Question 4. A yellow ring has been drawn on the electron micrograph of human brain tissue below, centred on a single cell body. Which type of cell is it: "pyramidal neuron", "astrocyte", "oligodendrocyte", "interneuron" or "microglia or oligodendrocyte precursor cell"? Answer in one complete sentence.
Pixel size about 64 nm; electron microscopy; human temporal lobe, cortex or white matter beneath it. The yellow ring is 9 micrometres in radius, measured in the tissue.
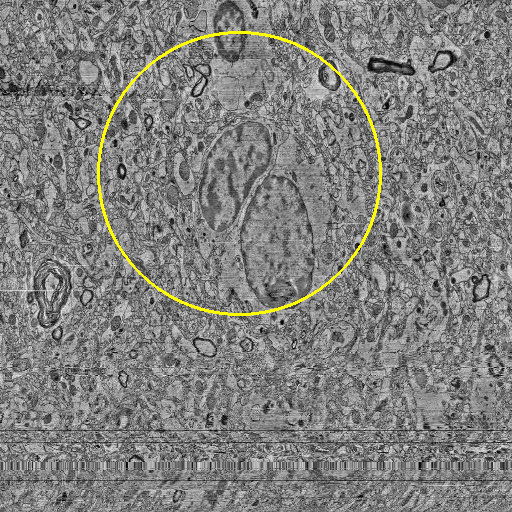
This cell body belongs to a microglial cell or oligodendrocyte precursor cell.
